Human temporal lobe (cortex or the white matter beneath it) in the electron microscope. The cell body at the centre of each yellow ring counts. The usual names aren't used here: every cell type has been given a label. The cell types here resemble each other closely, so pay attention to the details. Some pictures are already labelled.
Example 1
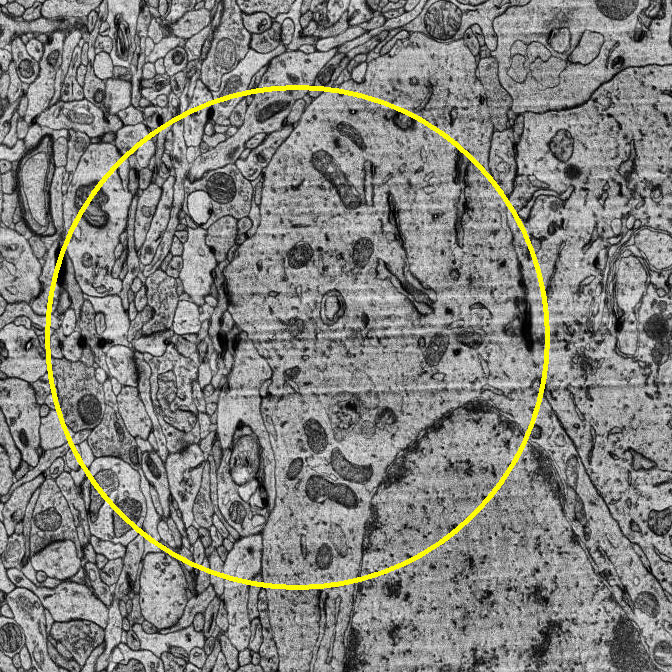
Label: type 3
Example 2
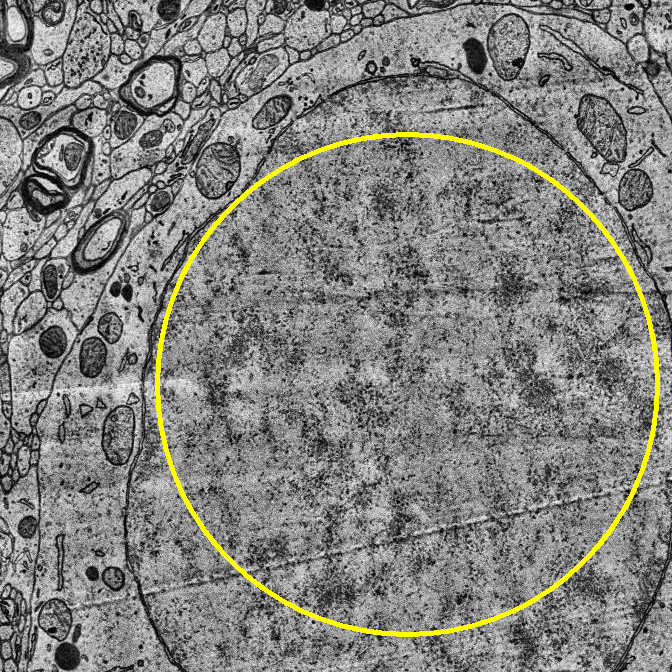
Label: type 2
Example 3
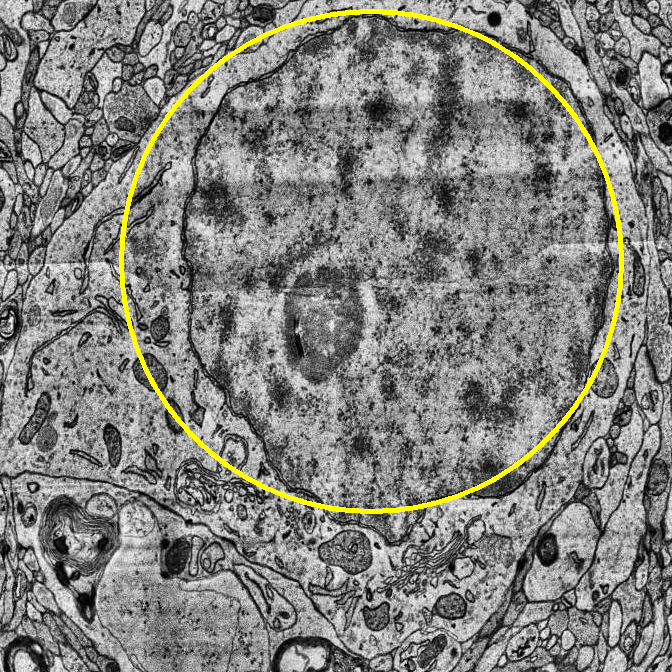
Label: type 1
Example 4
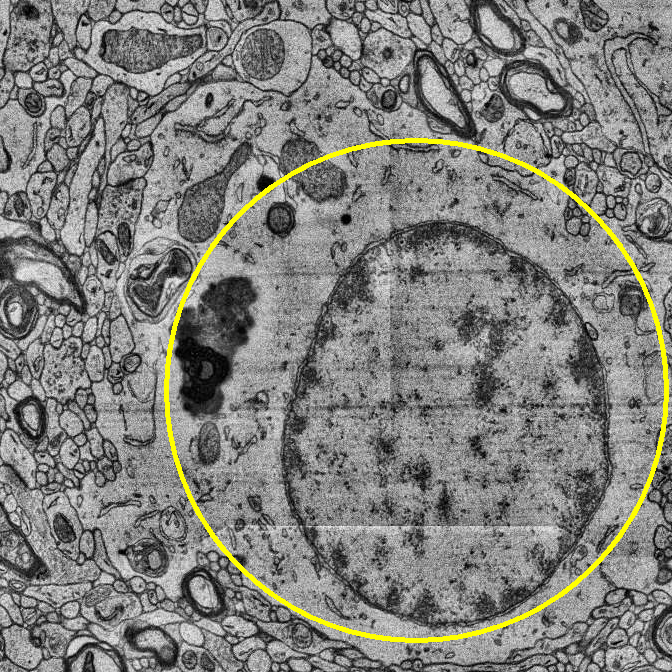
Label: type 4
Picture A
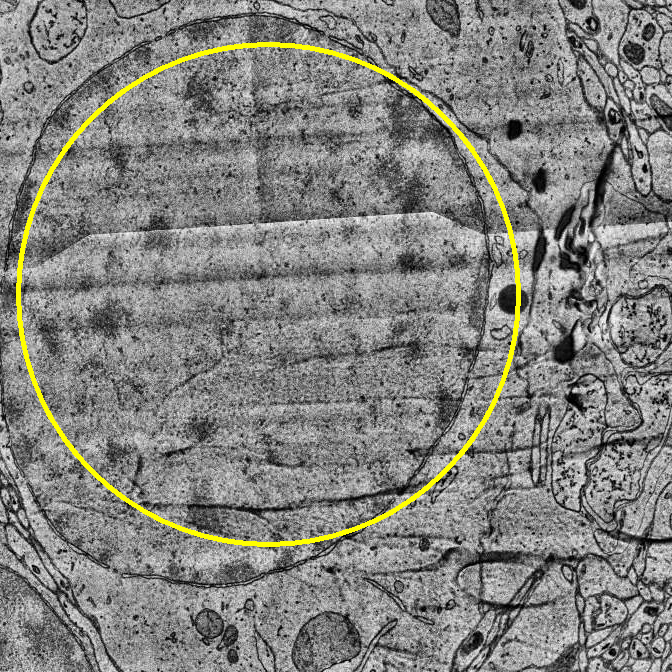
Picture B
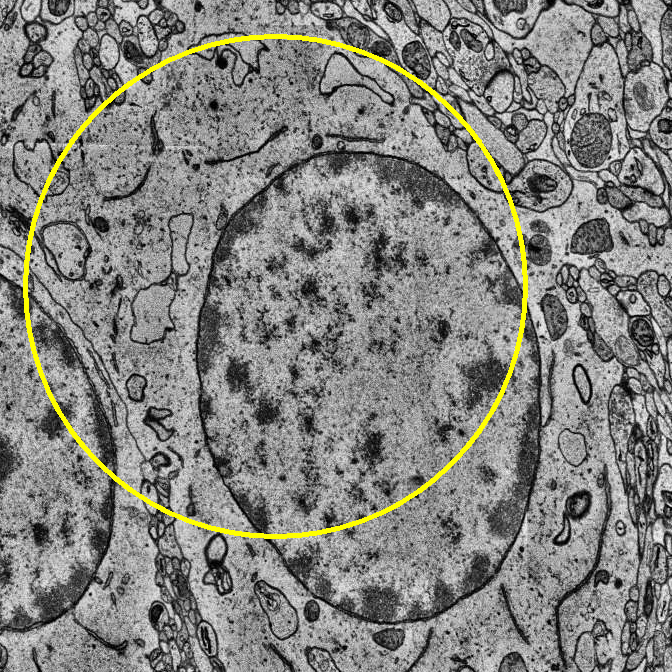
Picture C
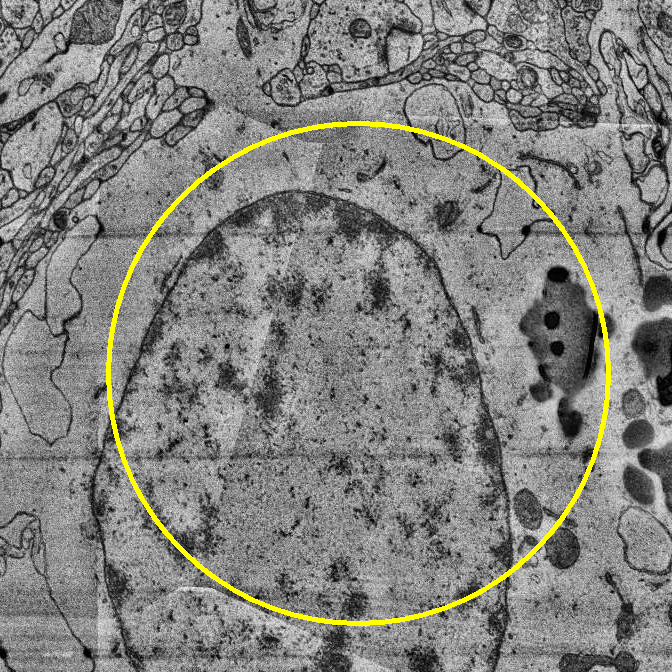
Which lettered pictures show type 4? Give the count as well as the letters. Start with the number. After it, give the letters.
3, namely A, B, C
